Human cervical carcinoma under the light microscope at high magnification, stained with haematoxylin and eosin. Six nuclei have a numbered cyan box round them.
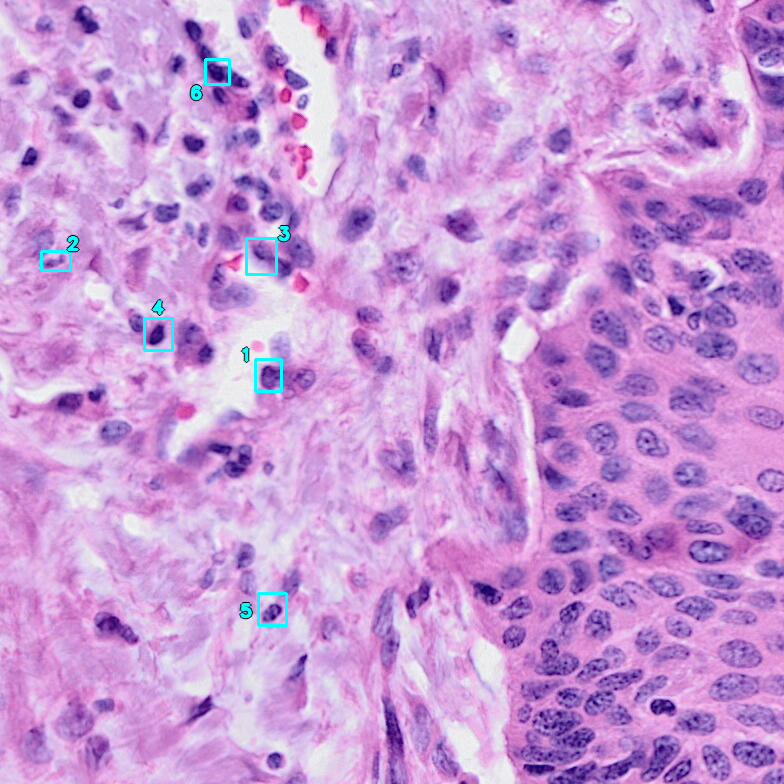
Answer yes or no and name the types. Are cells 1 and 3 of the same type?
Yes, both are endothelial cells.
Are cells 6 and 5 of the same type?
Yes, both are lymphocytes.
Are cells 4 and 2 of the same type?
No, cell 4 is a lymphocyte and cell 2 is a fibroblast.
